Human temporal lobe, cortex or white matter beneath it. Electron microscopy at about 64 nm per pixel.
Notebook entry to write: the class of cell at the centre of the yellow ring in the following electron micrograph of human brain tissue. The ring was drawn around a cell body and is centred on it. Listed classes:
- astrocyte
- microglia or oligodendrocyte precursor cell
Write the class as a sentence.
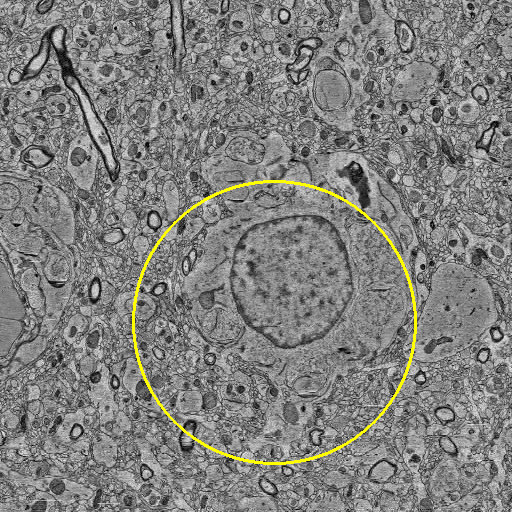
The yellow ring sits on an astrocyte.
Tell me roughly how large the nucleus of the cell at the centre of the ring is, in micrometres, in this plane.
Roughly 8 micrometers across in this plane.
